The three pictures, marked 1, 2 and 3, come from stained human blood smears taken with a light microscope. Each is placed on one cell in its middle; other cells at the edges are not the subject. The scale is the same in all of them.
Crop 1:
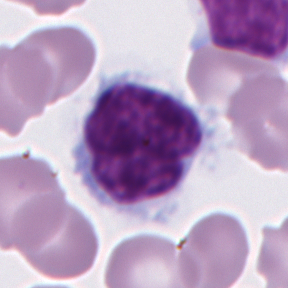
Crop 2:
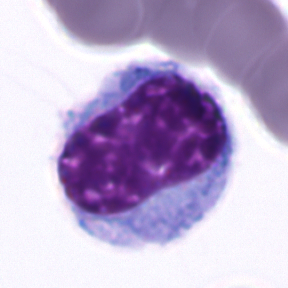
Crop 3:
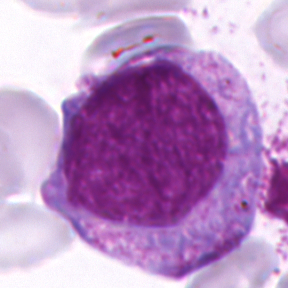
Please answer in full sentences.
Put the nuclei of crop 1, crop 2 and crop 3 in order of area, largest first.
The order is 3, 2, 1, beginning with the largest.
